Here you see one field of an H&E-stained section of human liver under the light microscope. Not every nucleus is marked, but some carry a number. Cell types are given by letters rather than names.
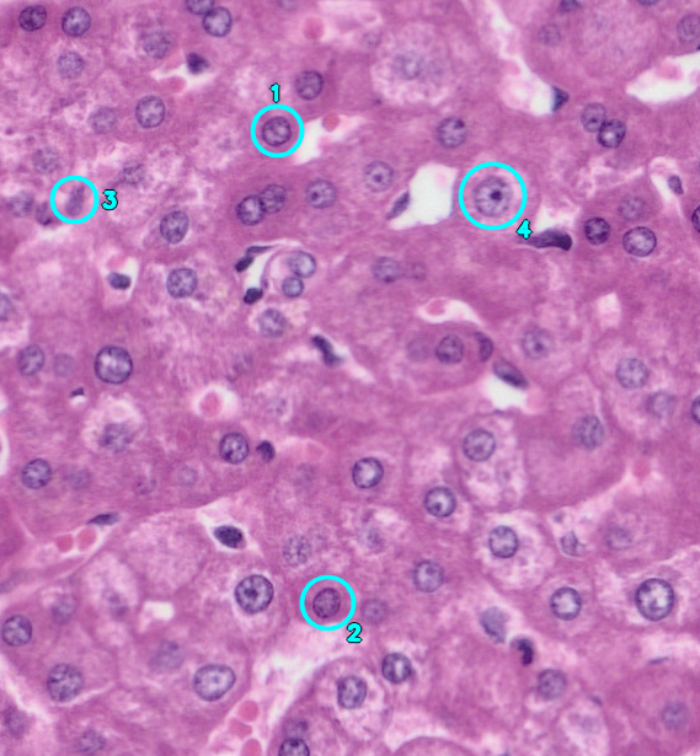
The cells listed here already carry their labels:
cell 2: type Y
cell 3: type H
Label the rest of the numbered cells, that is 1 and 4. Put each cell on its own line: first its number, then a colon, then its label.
1: type Y
4: type Y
